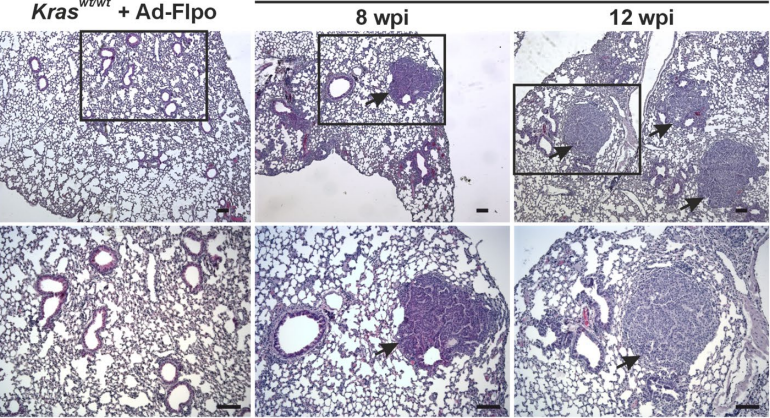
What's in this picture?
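Lung sections show alveolar tissue with thin septa forming a lacy network, interrupted by bronchioles lined by a pink epithelial layer and accompanying vessels. In the middle and right columns, dense solid nodules of closely packed cells lie adjacent to the airways and replace the open alveolar spaces. The magnified lower images show these nodules as compact masses with darker, more crowded nuclei than the surrounding alveolar walls. The left column shows only airways and normal alveoli without such nodules.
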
